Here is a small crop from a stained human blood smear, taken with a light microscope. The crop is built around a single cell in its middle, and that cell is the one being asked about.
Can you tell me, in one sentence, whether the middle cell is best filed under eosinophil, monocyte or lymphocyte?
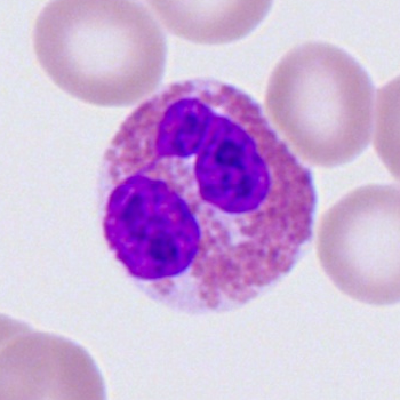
The cell that lies at the centre of the crop is an eosinophil.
